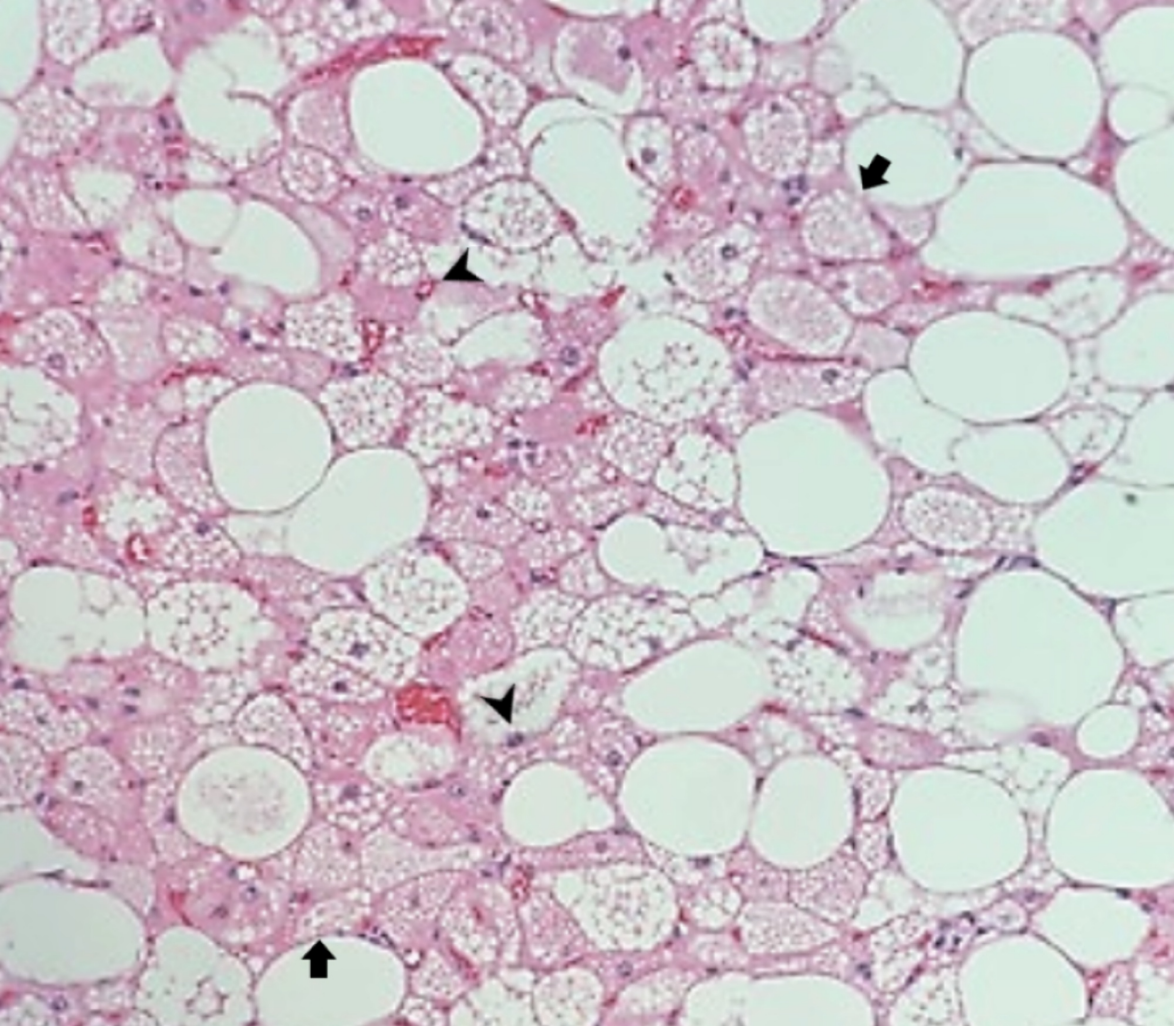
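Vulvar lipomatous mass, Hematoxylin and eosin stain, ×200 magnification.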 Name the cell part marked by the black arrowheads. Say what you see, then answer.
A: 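The cytoplasm has a finely grainy texture.
Eosinophilic granular cytoplasm.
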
